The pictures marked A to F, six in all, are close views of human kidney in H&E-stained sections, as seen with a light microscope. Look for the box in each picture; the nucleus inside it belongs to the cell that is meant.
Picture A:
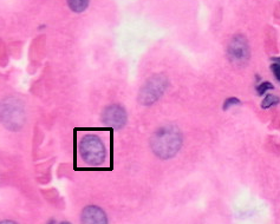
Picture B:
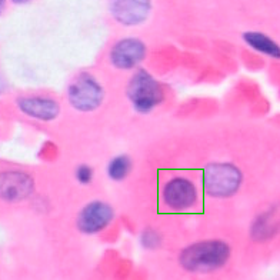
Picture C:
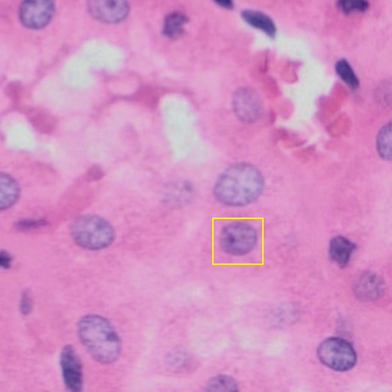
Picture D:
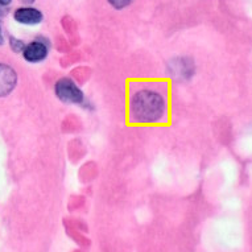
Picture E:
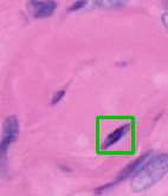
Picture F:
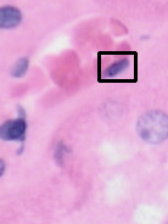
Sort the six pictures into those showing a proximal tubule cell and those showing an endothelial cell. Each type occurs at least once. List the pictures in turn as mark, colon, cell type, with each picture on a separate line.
A: proximal tubule cell
B: proximal tubule cell
C: proximal tubule cell
D: proximal tubule cell
E: endothelial cell
F: endothelial cell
